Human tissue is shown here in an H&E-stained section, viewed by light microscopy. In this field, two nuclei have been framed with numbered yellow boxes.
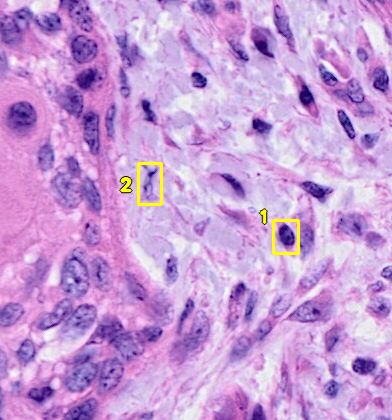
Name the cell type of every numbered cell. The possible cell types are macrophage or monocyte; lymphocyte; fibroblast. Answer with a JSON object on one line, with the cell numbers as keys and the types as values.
{"1": "lymphocyte", "2": "fibroblast"}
